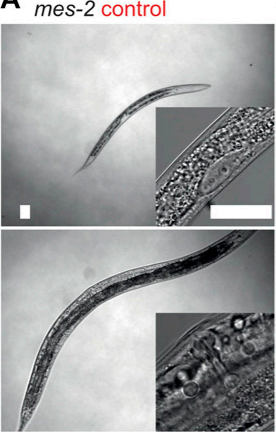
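Two whole nematodes are seen unstained under brightfield at low magnification, each with a higher-magnification inset of a stretch of the body. In the upper image the worm is slender and fairly translucent, and its inset shows a body region packed with small granular cells and a developing gonad. In the lower image the worm is much larger and thicker, with a darker, densely filled body. Its inset shows a more mature body region, where rounded, clear structures can be made out. The difference in size and body filling fits an animal that has grown through the later larval stages toward adulthood.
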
